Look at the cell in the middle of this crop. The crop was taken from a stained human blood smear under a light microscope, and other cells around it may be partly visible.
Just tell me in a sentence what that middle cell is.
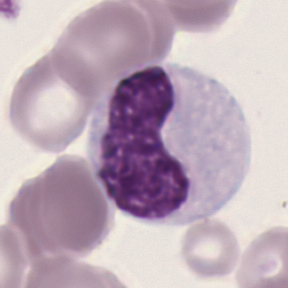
Among the cells in view, the one in the middle is a metamyelocyte.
